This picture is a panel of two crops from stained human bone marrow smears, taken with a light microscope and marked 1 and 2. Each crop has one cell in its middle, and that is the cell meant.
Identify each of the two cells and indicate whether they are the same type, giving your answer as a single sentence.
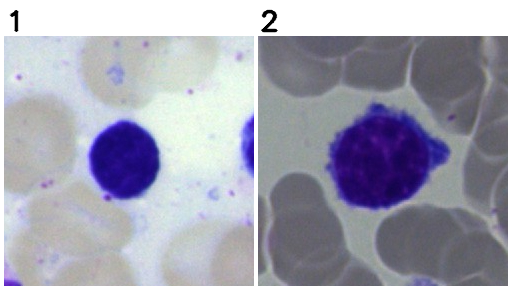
Yes, both crops show lymphocytes at their middles.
